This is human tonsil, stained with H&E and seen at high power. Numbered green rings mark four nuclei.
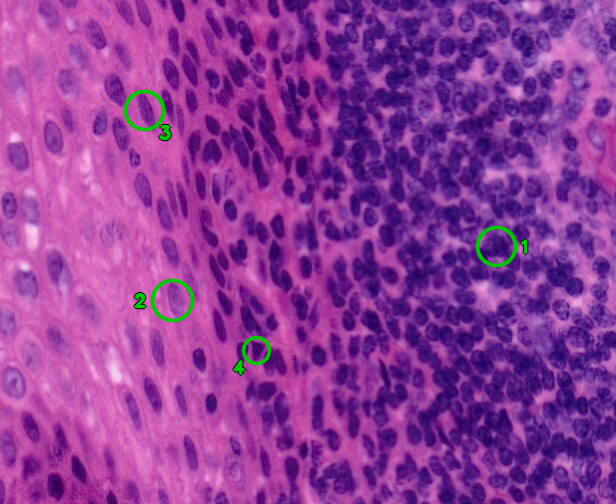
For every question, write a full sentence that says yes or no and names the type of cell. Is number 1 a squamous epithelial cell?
No, cell 1 is not a squamous epithelial cell, but is instead a small lymphocyte.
